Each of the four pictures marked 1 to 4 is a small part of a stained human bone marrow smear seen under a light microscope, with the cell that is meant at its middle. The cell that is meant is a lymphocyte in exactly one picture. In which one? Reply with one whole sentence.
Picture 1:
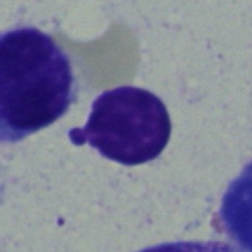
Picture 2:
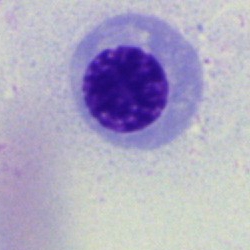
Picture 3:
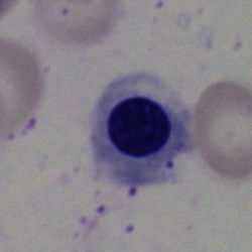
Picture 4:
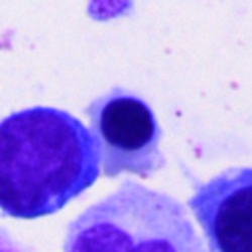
The picture with the lymphocyte is 1.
